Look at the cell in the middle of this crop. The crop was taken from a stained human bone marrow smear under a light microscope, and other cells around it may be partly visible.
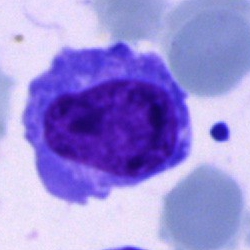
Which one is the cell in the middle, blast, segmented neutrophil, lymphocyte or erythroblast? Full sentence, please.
The cell occupying the middle of the crop is a blast.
